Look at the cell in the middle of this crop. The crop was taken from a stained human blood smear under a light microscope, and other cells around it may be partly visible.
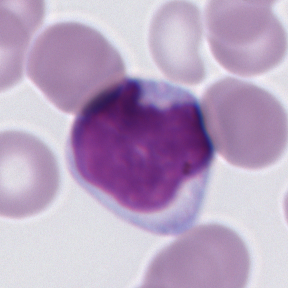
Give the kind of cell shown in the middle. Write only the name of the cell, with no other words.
large granular lymphocyte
